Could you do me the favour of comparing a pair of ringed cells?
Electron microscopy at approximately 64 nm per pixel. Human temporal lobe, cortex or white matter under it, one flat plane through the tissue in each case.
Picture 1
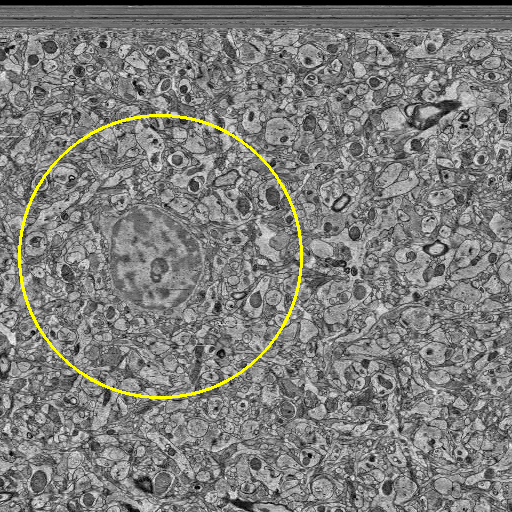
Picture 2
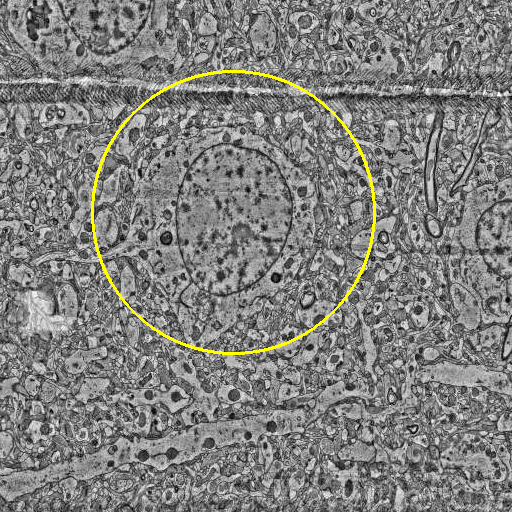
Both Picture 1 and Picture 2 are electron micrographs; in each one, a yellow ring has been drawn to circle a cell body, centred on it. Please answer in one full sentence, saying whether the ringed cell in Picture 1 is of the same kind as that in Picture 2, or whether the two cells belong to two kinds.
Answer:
The ringed cells in Picture 1 and Picture 2 belong to two kinds.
